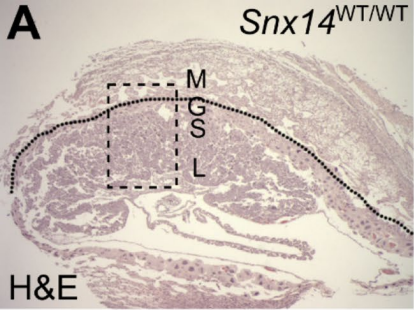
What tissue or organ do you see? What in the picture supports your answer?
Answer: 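Placentas. A dome-shaped disc of layered tissue sits on a thin membranous base. A dense cellular lower zone lies beneath a looser upper layer, separated by a dotted line. Thin folded membranes lie beneath the disc.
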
